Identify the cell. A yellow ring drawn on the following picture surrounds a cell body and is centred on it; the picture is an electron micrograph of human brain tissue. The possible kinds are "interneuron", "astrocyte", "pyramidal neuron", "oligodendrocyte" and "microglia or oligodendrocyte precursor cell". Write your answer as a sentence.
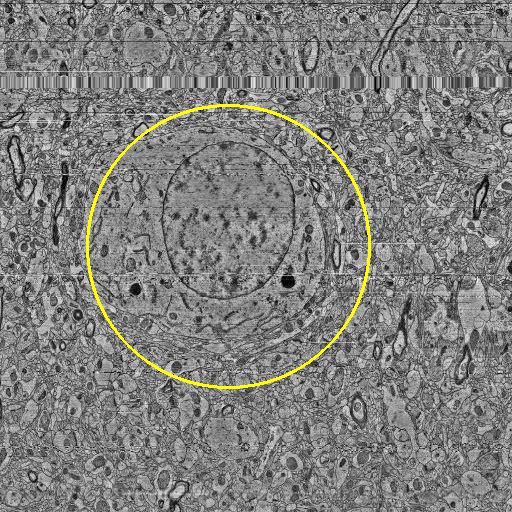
The cell identified by the ring is a pyramidal neuron.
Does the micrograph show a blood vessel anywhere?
No.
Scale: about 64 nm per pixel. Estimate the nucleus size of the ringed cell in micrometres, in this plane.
In this plane the nucleus is about 10 micrometres by 9.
